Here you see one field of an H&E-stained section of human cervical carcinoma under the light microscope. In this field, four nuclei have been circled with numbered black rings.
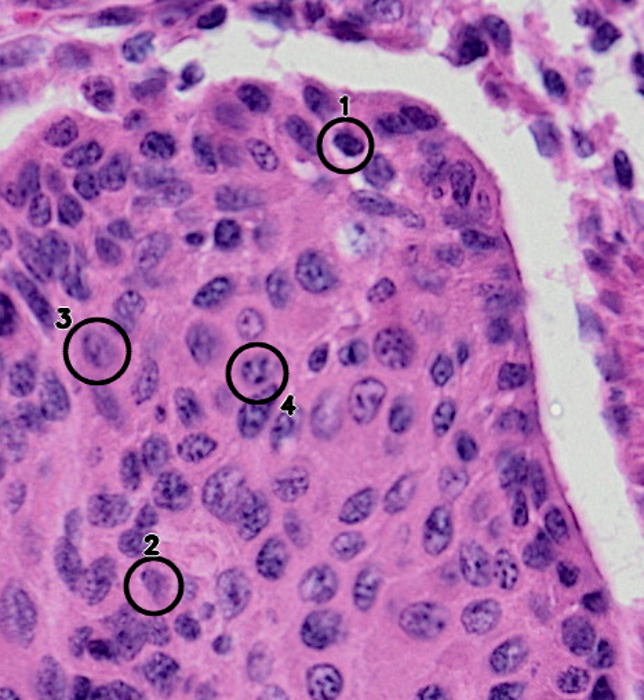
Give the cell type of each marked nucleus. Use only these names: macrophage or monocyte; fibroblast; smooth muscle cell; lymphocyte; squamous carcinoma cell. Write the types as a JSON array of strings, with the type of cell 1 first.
["lymphocyte", "squamous carcinoma cell", "squamous carcinoma cell", "squamous carcinoma cell"]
